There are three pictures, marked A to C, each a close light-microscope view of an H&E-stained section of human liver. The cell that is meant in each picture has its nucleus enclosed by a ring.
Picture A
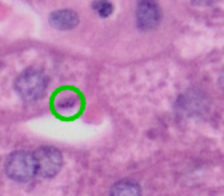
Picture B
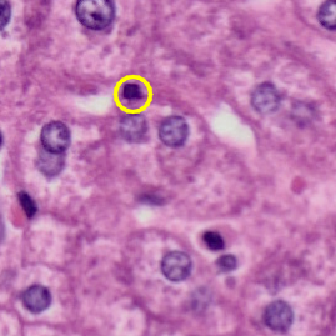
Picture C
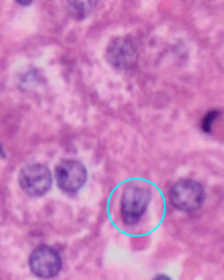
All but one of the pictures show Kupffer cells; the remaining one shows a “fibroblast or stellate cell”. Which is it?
B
